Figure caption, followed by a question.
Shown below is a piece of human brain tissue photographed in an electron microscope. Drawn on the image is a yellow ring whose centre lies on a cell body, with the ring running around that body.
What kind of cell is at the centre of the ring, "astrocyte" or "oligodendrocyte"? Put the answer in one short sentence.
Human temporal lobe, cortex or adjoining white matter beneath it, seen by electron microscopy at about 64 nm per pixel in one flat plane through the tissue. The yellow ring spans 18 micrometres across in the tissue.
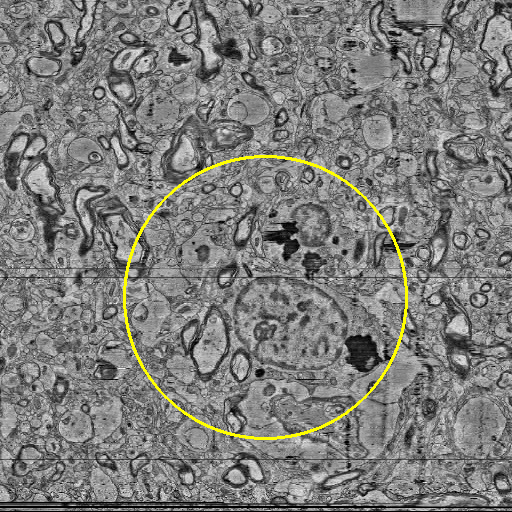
The ring marks the cell body of an oligodendrocyte.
